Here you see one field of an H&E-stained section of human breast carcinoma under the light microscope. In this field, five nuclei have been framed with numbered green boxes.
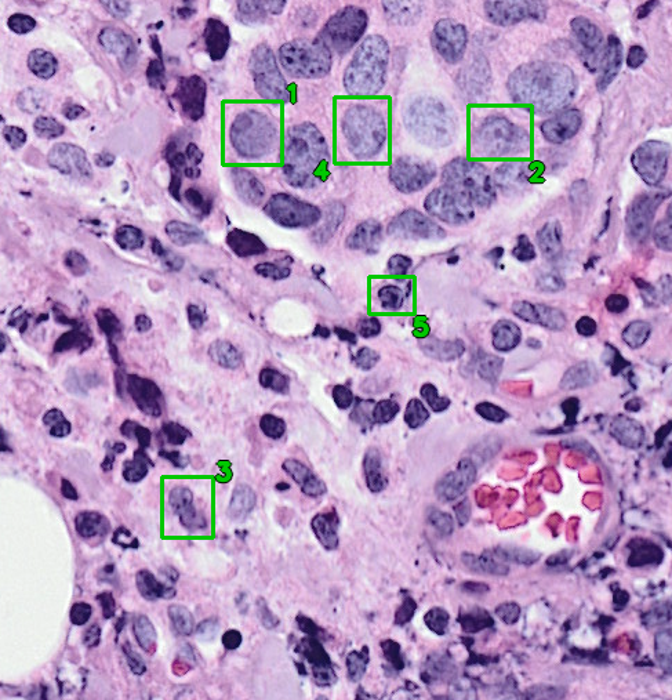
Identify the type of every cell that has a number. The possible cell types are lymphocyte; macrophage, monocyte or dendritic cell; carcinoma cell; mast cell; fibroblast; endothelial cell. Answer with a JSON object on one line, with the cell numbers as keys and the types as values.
{"1": "carcinoma cell", "2": "carcinoma cell", "3": "macrophage, monocyte or dendritic cell", "4": "carcinoma cell", "5": "lymphocyte"}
